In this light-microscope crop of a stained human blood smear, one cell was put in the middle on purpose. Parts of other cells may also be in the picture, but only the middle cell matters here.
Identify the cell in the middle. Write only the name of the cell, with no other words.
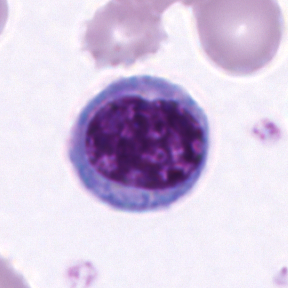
plasma cell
